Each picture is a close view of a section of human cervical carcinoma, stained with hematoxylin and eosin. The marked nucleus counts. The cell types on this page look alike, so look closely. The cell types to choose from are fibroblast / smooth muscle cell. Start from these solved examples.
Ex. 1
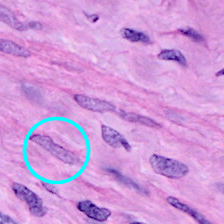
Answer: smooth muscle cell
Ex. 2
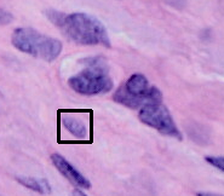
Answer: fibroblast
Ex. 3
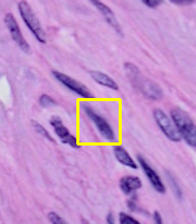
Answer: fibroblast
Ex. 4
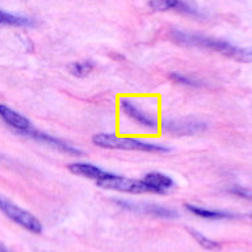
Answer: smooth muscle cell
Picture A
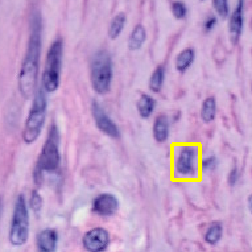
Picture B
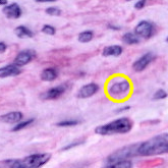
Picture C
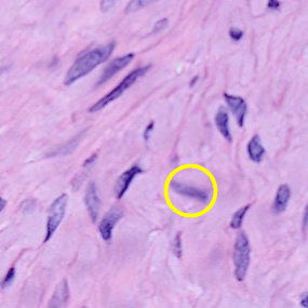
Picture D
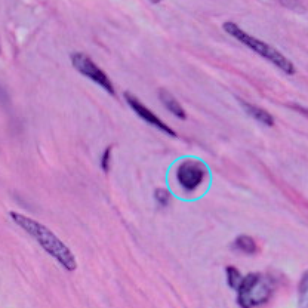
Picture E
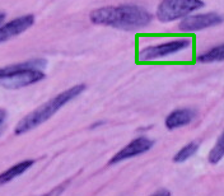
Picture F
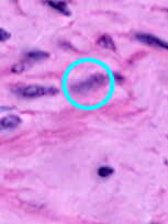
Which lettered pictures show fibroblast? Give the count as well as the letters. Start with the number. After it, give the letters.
Count: 3 (C, D, E)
